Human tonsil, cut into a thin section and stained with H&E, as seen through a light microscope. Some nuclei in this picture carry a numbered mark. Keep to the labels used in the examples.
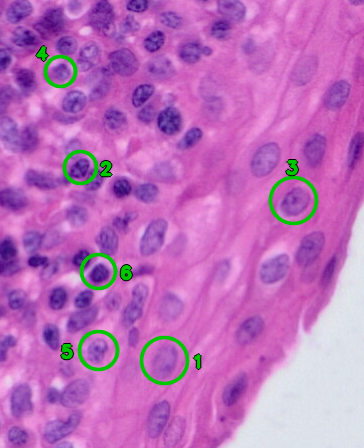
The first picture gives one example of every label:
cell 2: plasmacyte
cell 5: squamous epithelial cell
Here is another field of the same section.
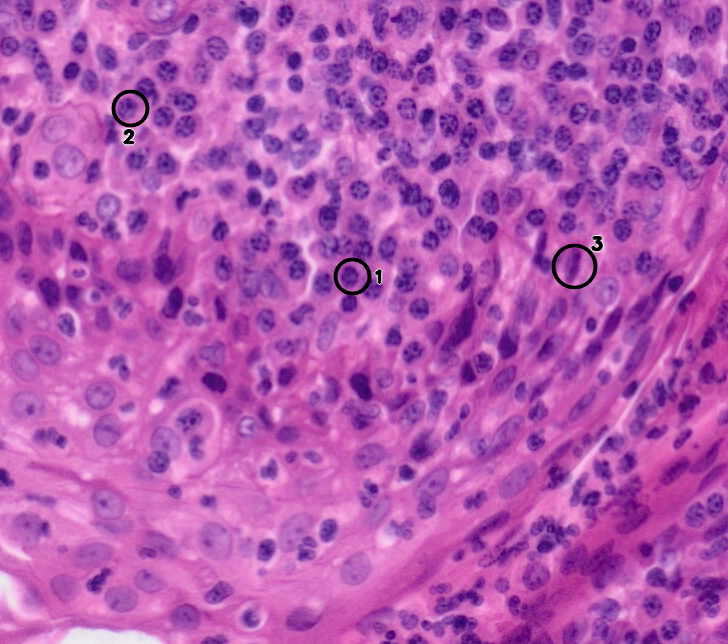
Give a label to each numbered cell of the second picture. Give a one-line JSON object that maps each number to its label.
{"1": "plasmacyte", "2": "plasmacyte", "3": "squamous epithelial cell"}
